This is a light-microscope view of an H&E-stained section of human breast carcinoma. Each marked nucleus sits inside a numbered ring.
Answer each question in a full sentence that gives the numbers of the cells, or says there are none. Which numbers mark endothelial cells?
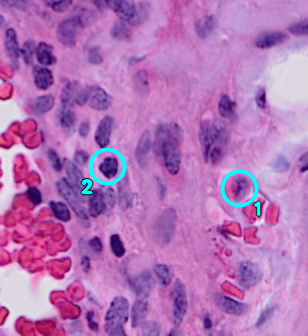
It is only cell 1 that is an endothelial cell among the numbered cells.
